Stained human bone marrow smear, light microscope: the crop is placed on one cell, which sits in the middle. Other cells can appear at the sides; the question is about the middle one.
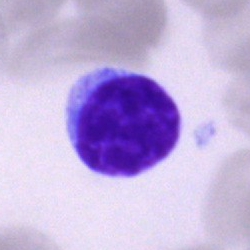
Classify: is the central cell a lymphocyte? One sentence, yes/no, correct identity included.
Yes, the cell at the centre of this crop is identified as a lymphocyte.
